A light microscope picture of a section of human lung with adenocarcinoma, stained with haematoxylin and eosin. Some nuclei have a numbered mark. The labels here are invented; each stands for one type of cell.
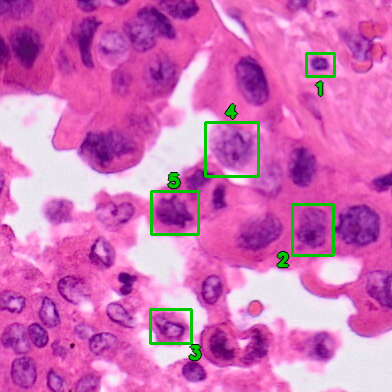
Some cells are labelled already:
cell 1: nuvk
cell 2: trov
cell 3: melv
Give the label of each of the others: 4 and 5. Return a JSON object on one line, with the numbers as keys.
{"4": "trov", "5": "trov"}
